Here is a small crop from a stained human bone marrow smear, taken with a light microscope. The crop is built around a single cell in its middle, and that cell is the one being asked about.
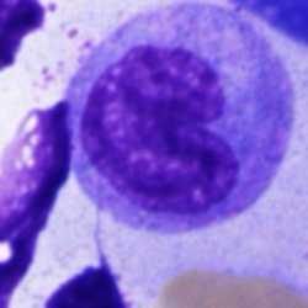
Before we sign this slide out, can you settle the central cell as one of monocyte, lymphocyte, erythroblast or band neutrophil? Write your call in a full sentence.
This crop's central cell is a monocyte.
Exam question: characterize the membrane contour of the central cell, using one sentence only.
From every side, the cell boundary is smooth and free of projections.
